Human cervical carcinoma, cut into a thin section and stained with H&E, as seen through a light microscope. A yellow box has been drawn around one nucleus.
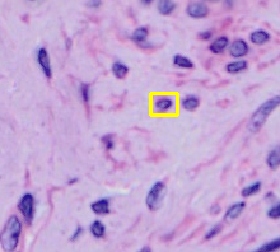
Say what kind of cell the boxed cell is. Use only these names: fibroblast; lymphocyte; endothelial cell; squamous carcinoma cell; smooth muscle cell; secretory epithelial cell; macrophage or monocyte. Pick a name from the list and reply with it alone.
smooth muscle cell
